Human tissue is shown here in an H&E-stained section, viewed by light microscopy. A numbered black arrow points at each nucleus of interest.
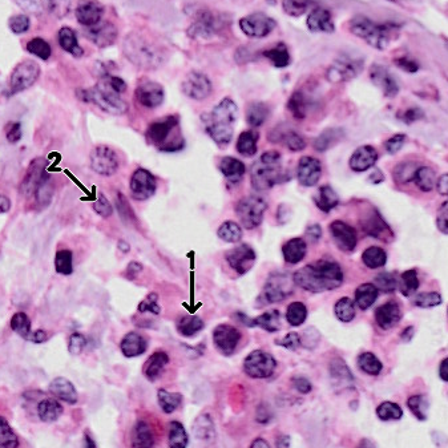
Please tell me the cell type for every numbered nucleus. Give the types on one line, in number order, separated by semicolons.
lymphocyte; macrophage or monocyte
